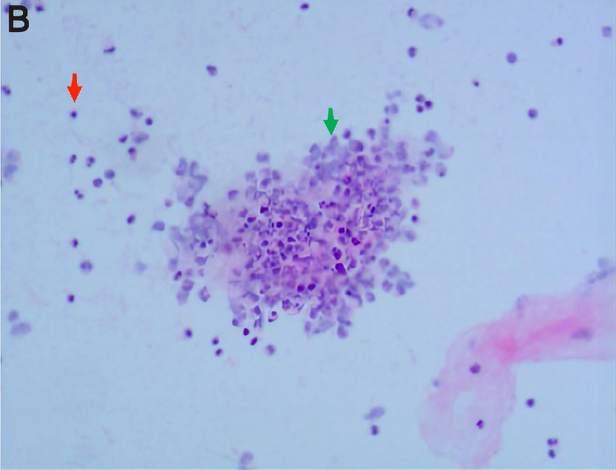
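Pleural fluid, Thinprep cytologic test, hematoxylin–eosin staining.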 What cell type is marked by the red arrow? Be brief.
Inflammatory cells.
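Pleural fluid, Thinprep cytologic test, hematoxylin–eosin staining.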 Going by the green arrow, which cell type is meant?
mesothelial cells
